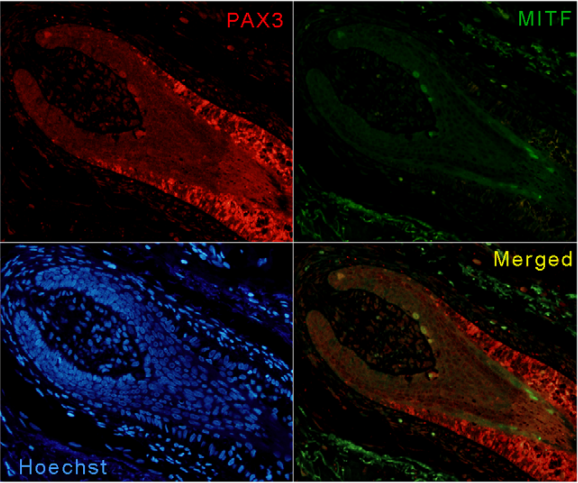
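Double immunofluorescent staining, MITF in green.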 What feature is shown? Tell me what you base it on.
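An elongated epithelial structure ends in a rounded swelling. The swelling encloses a darker, less labelled core. Densely packed nuclei fill the rounded end.
Conclusion: the bulb of the hair follicle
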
